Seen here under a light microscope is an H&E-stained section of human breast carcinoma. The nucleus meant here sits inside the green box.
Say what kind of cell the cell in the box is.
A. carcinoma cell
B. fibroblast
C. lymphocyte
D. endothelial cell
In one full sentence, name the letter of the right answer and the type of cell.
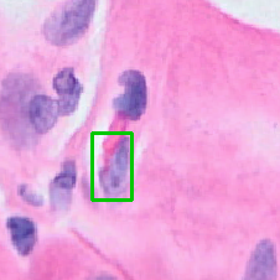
The correct option is D, and the cell in the box is an endothelial cell.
